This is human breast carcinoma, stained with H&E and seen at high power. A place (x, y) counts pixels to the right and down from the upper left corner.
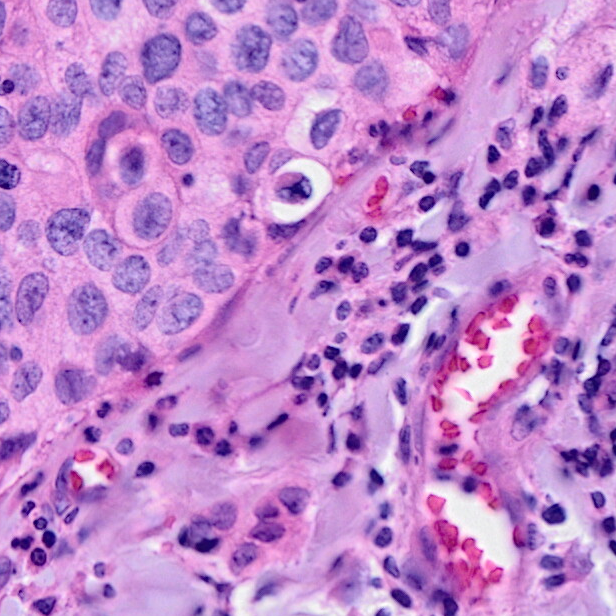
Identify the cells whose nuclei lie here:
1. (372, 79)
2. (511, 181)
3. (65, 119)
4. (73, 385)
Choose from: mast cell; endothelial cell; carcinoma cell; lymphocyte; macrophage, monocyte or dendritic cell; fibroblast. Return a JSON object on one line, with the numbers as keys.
{"1": "carcinoma cell", "2": "lymphocyte", "3": "carcinoma cell", "4": "carcinoma cell"}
